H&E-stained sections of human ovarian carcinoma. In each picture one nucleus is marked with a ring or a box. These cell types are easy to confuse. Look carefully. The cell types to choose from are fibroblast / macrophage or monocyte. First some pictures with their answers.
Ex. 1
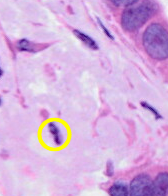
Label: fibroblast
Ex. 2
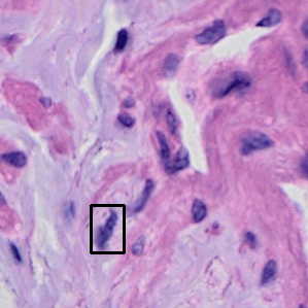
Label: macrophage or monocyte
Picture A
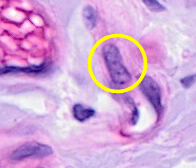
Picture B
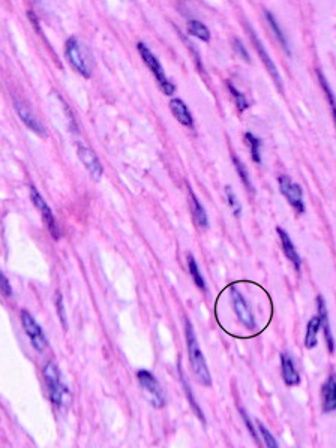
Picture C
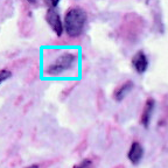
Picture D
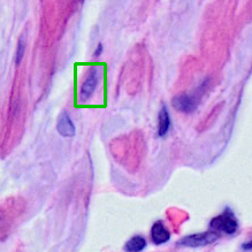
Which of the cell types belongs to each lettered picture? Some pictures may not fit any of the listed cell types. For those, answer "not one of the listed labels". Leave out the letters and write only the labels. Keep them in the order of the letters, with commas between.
not one of the listed labels, fibroblast, fibroblast, not one of the listed labels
